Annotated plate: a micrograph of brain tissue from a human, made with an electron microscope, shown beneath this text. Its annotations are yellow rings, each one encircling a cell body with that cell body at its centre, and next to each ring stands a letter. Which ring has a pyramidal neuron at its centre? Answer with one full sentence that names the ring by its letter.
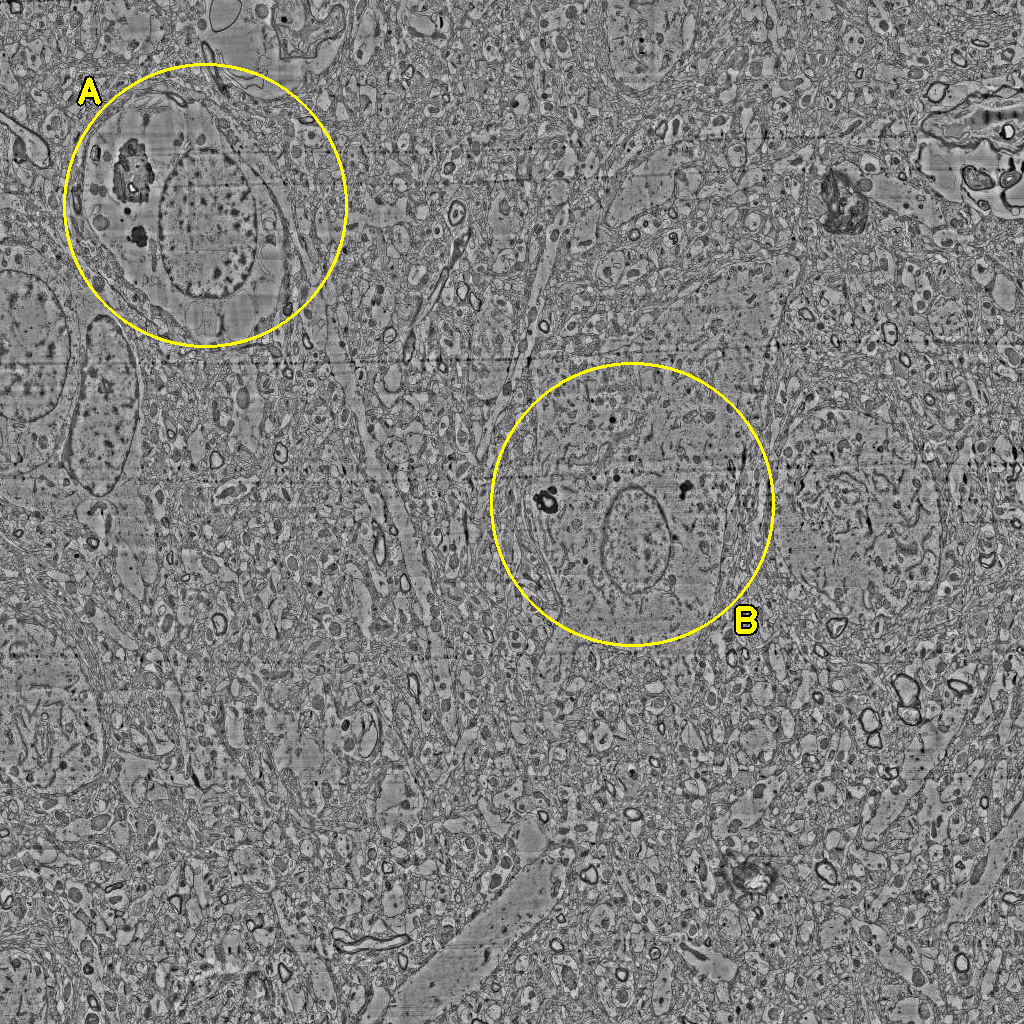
In the plate, ring B is the one centred on a cell of that kind.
